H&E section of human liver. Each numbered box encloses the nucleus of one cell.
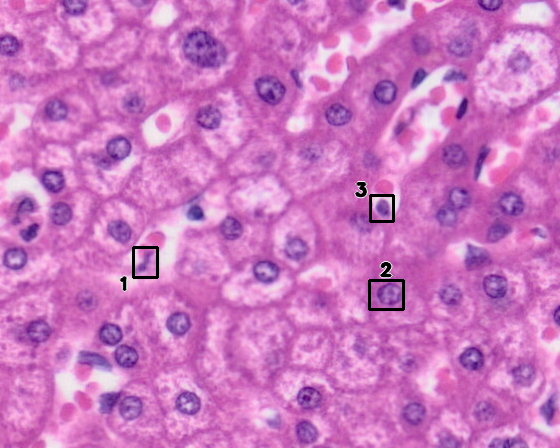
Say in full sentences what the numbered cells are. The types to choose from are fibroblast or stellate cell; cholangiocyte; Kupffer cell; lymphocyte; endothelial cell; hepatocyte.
Cell 1 is a Kupffer cell. Cell 2 is a hepatocyte. Cell 3 is a lymphocyte.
